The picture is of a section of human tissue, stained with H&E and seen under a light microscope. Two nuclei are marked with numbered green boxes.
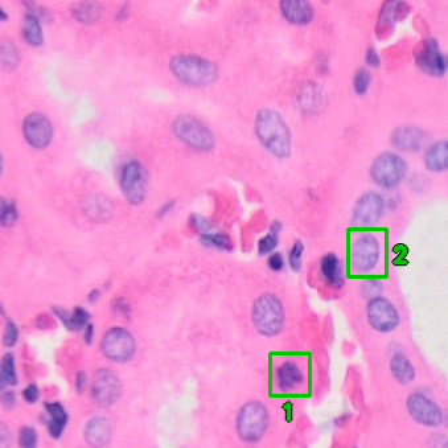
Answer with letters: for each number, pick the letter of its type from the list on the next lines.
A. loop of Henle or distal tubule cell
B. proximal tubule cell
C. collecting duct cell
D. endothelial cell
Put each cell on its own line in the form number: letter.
1: B
2: C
